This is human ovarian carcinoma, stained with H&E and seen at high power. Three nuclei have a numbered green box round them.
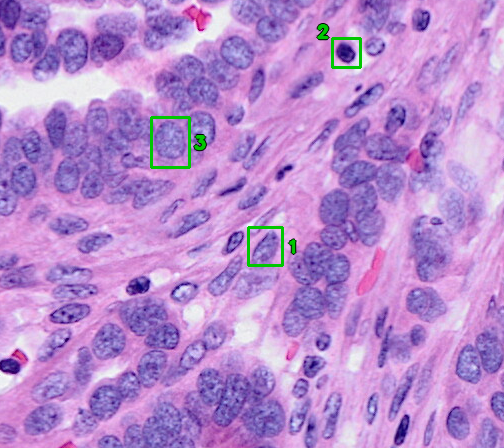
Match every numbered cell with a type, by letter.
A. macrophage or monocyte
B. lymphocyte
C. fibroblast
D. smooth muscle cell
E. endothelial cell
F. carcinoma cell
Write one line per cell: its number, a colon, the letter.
1: C
2: B
3: F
